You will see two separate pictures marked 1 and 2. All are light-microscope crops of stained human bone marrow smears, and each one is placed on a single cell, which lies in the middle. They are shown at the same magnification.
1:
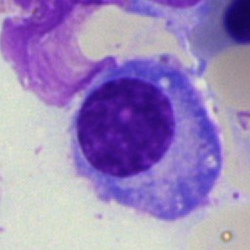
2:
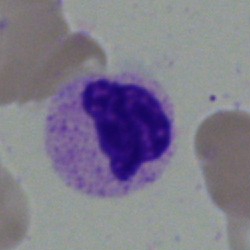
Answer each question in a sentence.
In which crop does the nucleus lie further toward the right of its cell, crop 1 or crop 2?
Seen within its cell, the nucleus in crop 2 lies further toward the right.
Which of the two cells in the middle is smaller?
The cell in crop 2 is smaller; the one in crop 1 has about 1.5 times its area.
